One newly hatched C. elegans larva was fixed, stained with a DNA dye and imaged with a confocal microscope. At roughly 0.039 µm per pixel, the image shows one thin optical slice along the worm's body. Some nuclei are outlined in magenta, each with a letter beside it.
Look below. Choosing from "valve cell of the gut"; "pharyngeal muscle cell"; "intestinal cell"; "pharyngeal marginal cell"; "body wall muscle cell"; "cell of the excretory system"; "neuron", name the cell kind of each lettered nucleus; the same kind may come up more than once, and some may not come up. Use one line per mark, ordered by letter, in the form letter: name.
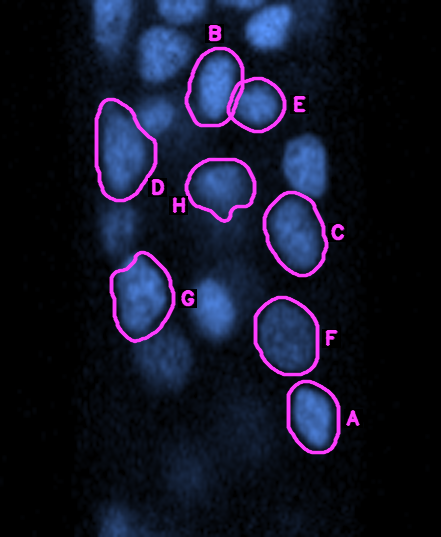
A: body wall muscle cell
B: pharyngeal marginal cell
C: body wall muscle cell
D: cell of the excretory system
E: neuron
F: intestinal cell
G: body wall muscle cell
H: valve cell of the gut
